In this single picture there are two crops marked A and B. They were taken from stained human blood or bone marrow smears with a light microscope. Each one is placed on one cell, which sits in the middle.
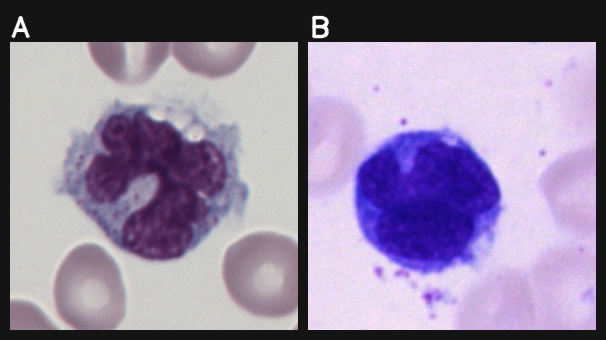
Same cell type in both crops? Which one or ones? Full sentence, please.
Yes, both of the crops in this pair show monocytes, one cell in each crop.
